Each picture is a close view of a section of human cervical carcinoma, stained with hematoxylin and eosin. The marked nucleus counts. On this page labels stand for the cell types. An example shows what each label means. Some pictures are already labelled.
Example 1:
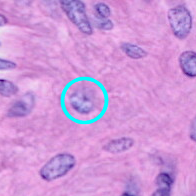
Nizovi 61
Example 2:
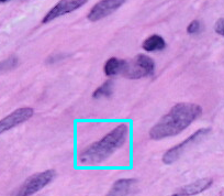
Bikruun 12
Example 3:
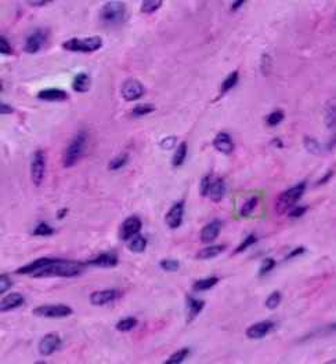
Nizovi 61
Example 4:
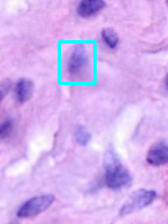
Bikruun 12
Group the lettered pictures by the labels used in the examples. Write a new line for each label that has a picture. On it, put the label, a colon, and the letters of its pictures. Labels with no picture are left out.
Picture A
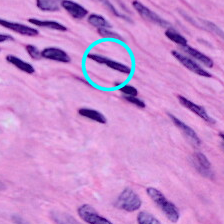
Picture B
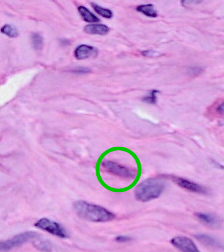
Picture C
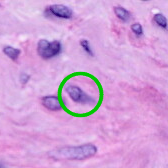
Nizovi 61: B, C
Bikruun 12: A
